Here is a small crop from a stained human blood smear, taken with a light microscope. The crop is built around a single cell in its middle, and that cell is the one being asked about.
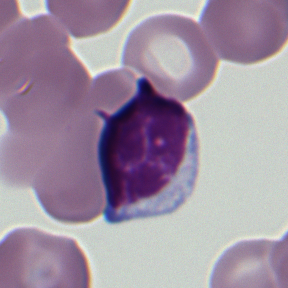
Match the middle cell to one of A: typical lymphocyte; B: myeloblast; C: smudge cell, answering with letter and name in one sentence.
What option A states is correct, the central cell being a typical lymphocyte.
